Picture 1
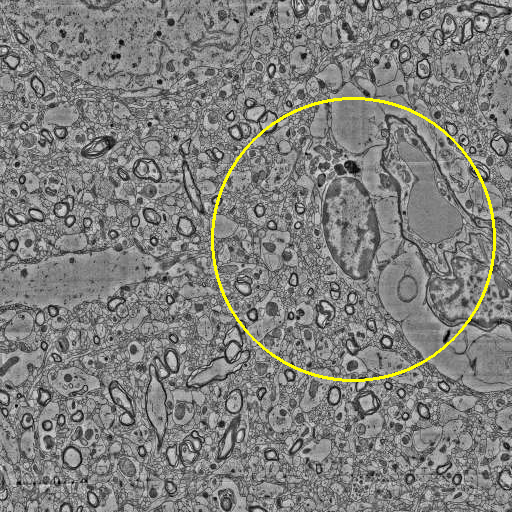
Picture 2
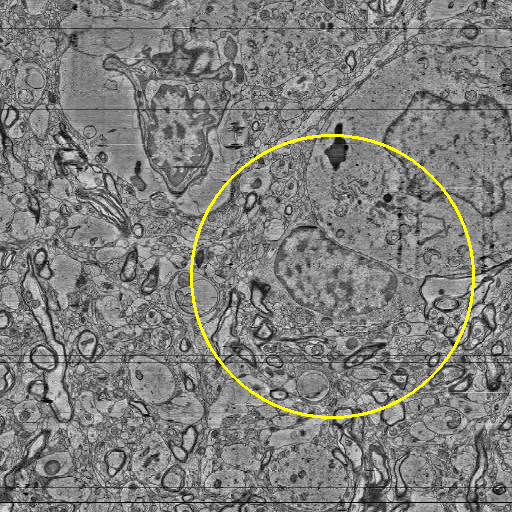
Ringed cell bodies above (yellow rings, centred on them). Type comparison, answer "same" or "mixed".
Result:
mixed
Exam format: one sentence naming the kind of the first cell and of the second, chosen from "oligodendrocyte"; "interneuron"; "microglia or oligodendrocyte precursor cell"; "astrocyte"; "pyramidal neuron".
The first picture's cell is a microglial cell or oligodendrocyte precursor cell, and the second picture's cell is an oligodendrocyte.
